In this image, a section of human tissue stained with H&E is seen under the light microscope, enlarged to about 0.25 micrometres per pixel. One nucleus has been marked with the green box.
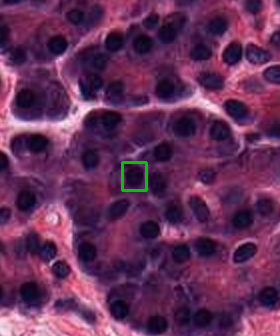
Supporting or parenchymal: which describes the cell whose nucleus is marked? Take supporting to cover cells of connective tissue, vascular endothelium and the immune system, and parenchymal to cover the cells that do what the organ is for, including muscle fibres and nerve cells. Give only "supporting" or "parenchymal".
parenchymal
